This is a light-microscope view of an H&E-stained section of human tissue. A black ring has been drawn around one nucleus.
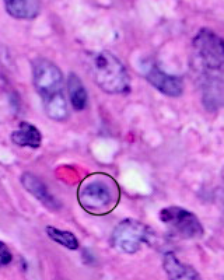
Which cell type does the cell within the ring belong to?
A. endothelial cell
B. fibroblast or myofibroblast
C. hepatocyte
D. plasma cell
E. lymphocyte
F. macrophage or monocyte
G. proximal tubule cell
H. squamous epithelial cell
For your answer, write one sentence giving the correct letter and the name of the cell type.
In short, option A: the cell within the ring is an endothelial cell.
